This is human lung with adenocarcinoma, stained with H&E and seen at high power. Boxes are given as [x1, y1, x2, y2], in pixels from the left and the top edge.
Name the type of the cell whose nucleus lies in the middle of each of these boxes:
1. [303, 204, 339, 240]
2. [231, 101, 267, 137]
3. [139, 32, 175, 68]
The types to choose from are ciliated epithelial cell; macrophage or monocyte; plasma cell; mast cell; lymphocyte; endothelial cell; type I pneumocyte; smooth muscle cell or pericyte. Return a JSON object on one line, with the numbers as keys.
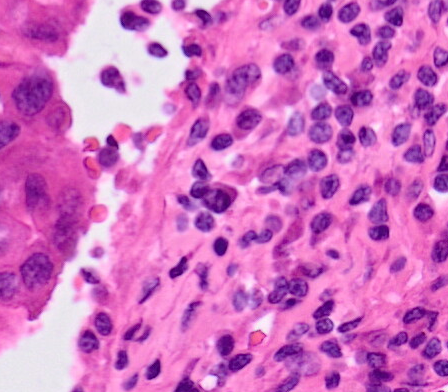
{"1": "plasma cell", "2": "plasma cell", "3": "lymphocyte"}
